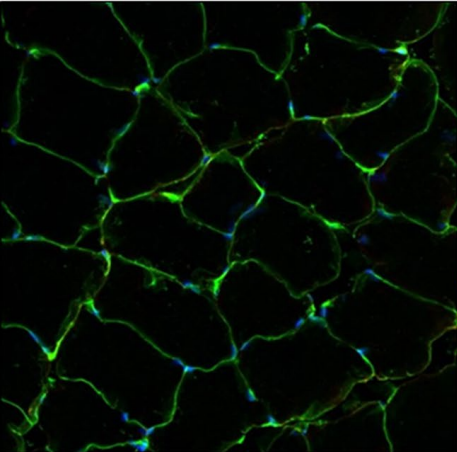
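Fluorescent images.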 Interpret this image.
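This is skeletal muscle cut in cross-section, showing muscle fibres as large polygonal dark profiles packed closely together. Each fibre is outlined by a thin green border, and the spaces between neighbouring fibres are narrow. Small blue nuclei lie at the edges of the fibres and at the corners where several fibres meet, rather than in the centre of the fibres.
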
